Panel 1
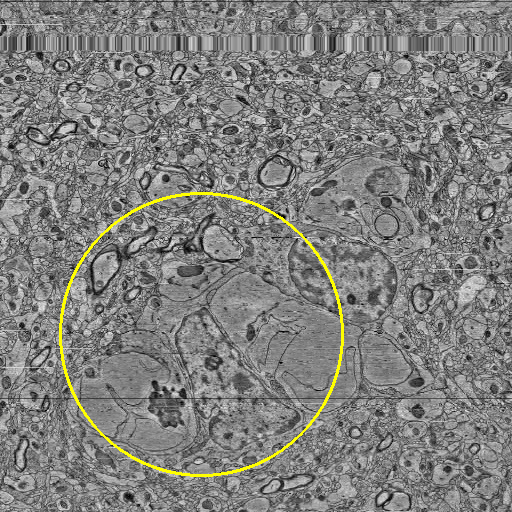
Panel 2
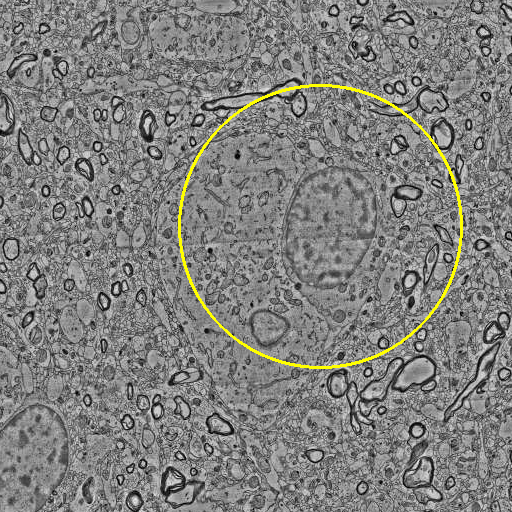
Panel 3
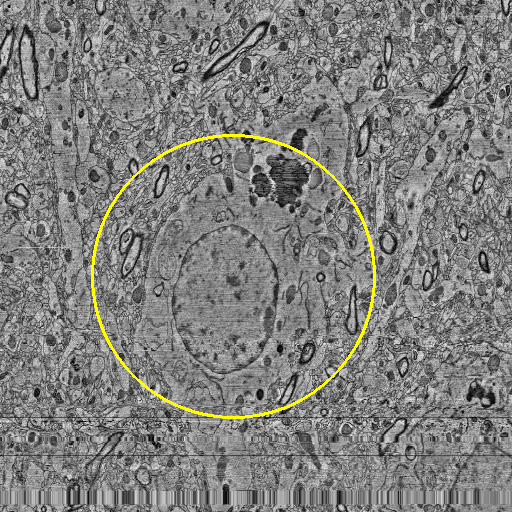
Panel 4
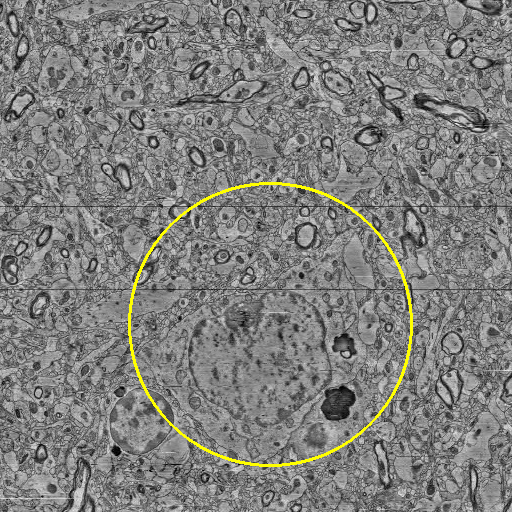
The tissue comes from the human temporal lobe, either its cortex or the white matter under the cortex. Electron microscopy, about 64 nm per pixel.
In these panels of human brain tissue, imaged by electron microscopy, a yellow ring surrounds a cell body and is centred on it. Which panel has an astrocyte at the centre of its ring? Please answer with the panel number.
3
